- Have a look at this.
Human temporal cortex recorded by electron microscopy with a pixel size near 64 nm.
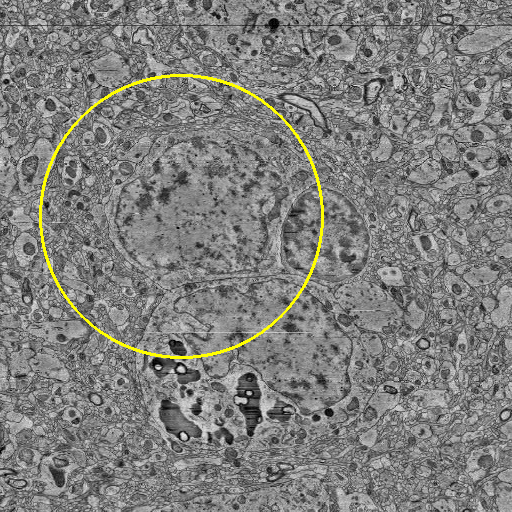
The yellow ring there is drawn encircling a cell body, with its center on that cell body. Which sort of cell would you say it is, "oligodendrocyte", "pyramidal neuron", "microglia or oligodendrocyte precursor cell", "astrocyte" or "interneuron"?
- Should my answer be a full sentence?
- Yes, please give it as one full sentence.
For this picture, an interneuron is the cell where the yellow ring has its center.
